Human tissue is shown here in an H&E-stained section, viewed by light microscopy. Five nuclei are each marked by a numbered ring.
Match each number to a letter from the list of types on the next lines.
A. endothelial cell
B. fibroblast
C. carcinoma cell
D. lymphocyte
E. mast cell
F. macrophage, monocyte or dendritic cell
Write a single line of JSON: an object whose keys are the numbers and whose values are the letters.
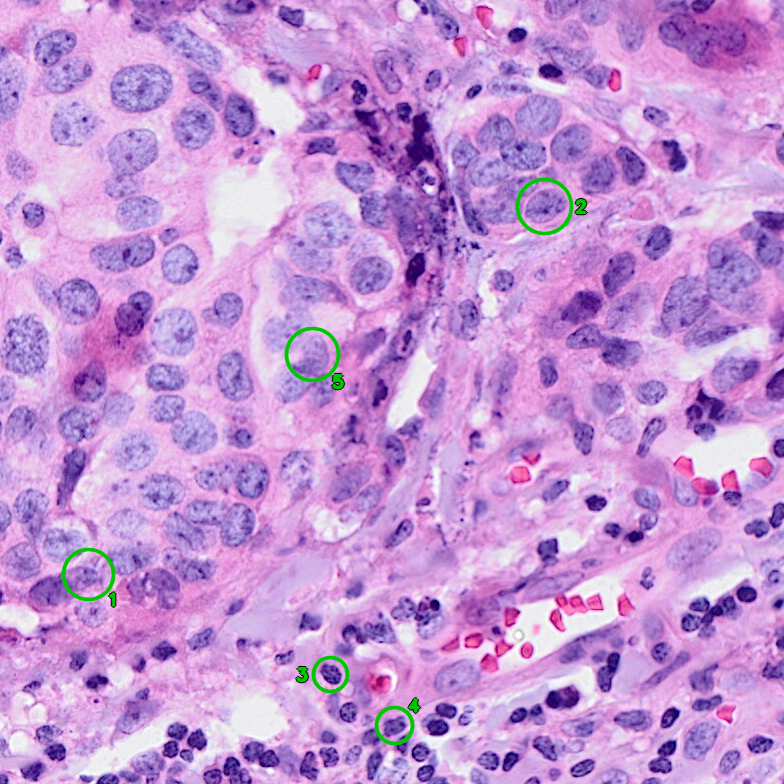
{"1": "C", "2": "C", "3": "D", "4": "D", "5": "C"}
